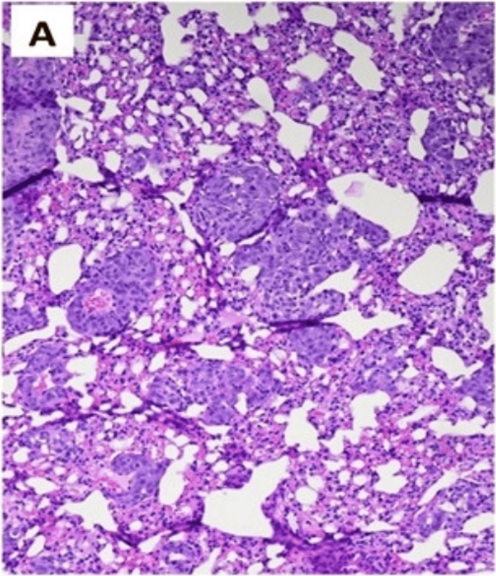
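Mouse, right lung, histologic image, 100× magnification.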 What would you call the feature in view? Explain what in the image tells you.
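Many rounded, darker purple aggregates of densely packed cells lie among the alveolar spaces. The aggregates vary in size from small to large. They are spread throughout the lung tissue.
Conclusion: tumor nests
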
